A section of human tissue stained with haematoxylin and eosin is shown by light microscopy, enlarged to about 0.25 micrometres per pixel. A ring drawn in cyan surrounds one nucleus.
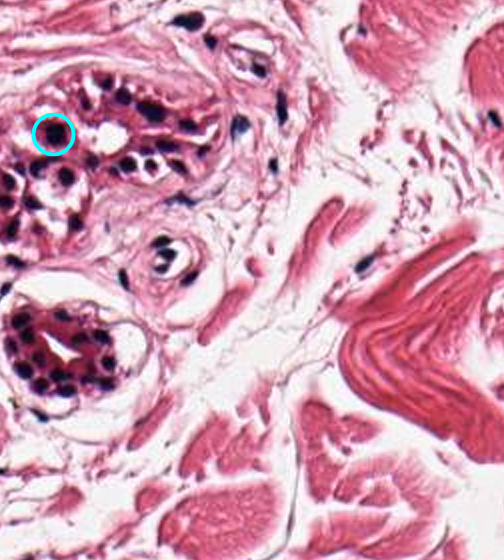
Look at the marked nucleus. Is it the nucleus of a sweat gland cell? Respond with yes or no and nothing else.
yes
